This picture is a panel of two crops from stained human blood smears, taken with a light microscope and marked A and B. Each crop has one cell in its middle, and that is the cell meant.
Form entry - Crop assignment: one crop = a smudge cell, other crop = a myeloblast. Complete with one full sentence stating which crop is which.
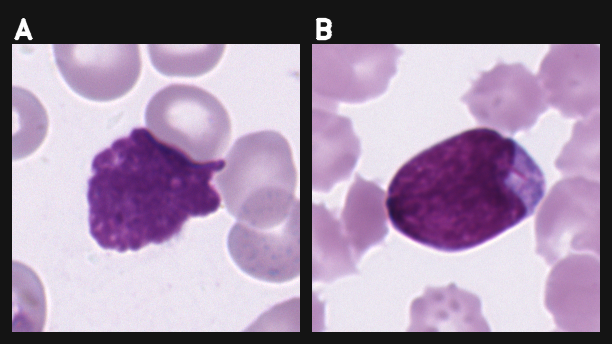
Crop A contains a smudge cell, and crop B contains a myeloblast.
